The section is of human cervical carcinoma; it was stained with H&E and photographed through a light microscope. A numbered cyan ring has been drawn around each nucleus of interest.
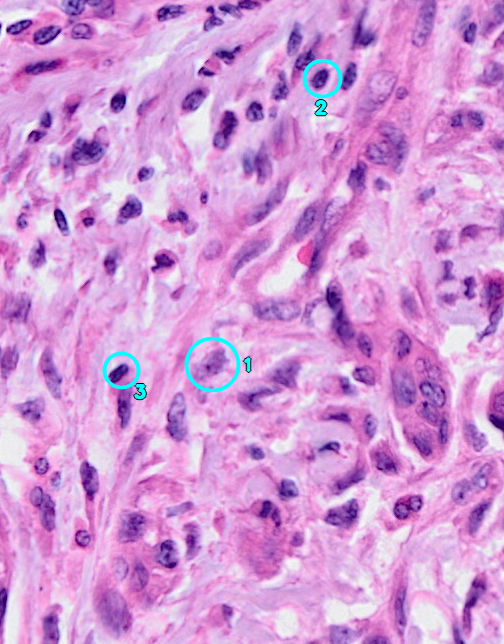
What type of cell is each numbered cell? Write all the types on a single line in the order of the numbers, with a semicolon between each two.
fibroblast; lymphocyte; lymphocyte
